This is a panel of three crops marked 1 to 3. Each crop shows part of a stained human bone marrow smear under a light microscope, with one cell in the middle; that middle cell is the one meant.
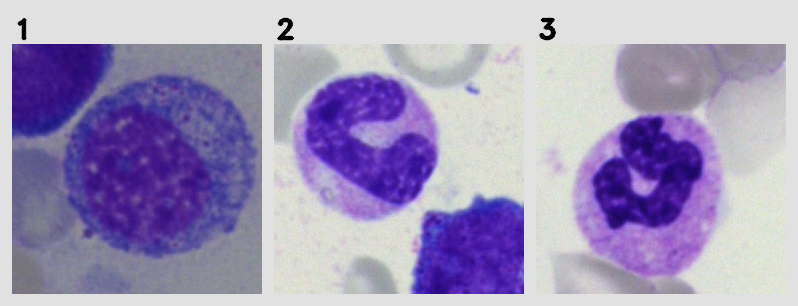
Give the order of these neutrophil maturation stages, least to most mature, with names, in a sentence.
The maturity ranking, lowest to highest, is crop 1 (a promyelocyte), crop 2 (a band neutrophil) and crop 3 (a segmented neutrophil).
